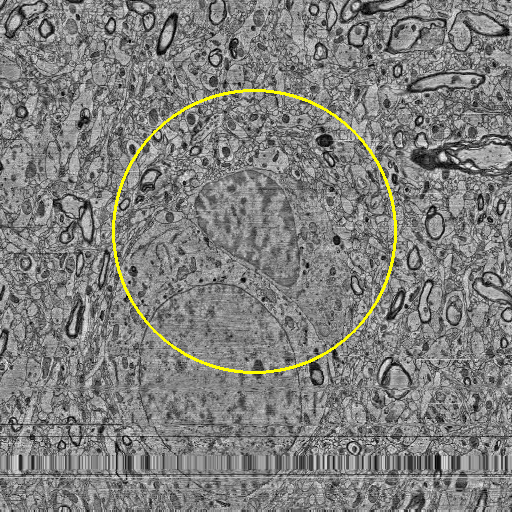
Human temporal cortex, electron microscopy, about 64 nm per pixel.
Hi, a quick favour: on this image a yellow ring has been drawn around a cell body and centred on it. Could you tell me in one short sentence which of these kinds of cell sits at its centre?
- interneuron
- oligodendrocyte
The ring is centred on an oligodendrocyte.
